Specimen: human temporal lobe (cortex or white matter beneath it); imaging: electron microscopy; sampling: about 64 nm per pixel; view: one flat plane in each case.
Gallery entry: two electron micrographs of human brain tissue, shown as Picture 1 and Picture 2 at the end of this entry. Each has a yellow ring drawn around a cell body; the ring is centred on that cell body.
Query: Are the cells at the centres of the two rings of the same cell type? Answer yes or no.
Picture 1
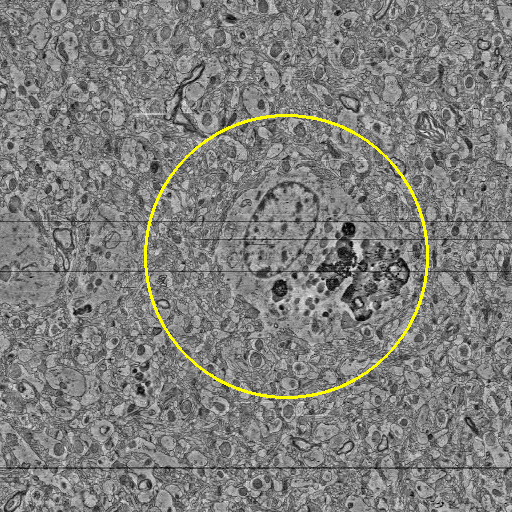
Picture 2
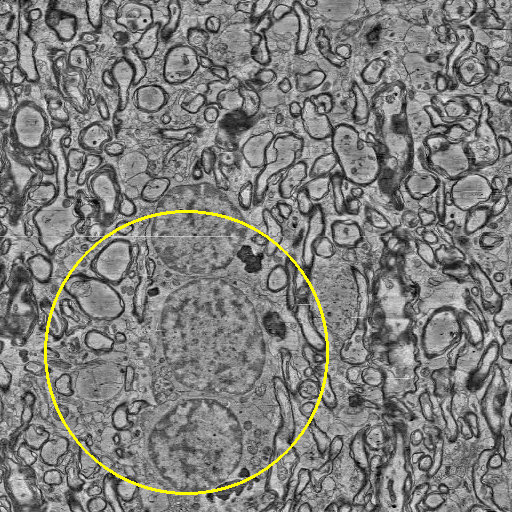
no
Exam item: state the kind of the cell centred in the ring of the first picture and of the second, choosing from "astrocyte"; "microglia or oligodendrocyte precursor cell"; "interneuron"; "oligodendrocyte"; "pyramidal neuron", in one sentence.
The first picture shows an astrocyte at the ring centre and the second shows an oligodendrocyte.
